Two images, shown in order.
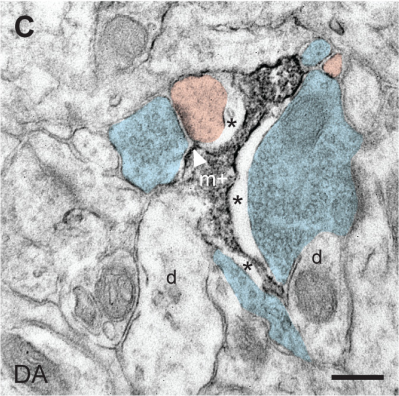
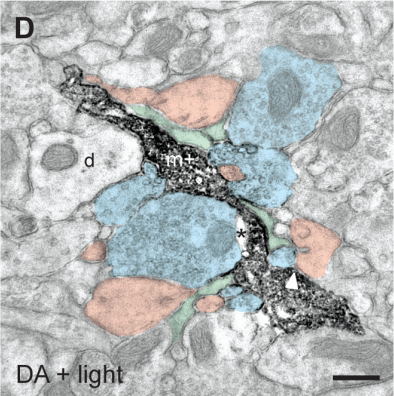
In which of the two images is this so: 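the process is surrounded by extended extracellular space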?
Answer: the first image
